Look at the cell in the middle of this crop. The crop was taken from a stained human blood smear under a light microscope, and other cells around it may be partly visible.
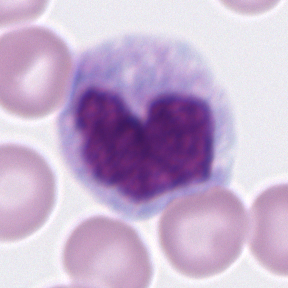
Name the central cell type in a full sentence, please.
In the central position of this crop, the cell is a monocyte.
